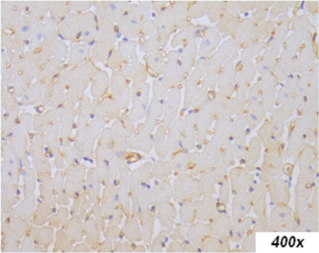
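This is heart muscle cut across, where the pale cross-sections of muscle fibres are outlined by many small brown-rimmed circles, the individual capillaries. The capillaries sit in the thin spaces between fibres, roughly one beside each fibre. Blue-stained nuclei are scattered among them, and the muscle itself takes up only a faint beige tone.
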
